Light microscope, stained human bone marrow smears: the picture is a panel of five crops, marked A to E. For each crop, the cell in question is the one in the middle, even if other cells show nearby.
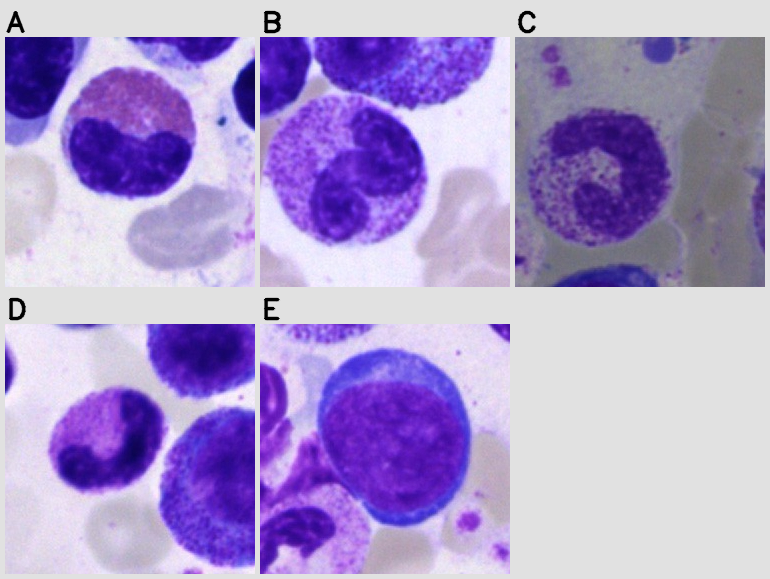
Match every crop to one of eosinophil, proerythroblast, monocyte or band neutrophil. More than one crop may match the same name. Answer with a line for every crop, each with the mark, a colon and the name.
A: eosinophil
B: band neutrophil
C: band neutrophil
D: band neutrophil
E: proerythroblast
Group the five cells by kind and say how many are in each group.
band neutrophil: 3
eosinophil: 1
proerythroblast: 1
